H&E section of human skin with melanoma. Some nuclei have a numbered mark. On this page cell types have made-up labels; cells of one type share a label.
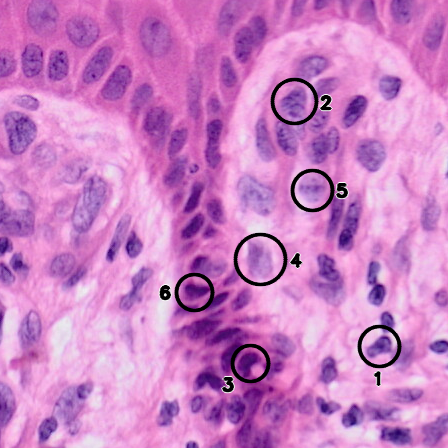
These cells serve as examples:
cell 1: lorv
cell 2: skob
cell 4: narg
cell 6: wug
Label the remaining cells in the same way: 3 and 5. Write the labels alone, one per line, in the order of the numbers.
wug
skob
